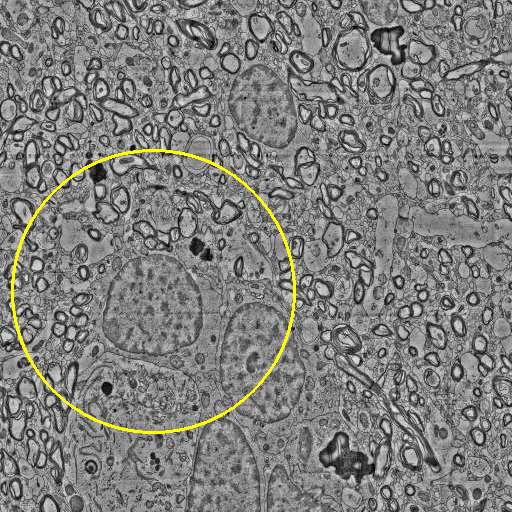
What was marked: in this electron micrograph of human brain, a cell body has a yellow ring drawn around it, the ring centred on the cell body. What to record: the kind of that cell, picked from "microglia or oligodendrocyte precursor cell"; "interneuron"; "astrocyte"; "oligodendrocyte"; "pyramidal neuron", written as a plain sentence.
The centred cell is an oligodendrocyte.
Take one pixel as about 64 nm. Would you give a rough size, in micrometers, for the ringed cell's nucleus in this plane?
In this plane, approximately 7 micrometres across.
